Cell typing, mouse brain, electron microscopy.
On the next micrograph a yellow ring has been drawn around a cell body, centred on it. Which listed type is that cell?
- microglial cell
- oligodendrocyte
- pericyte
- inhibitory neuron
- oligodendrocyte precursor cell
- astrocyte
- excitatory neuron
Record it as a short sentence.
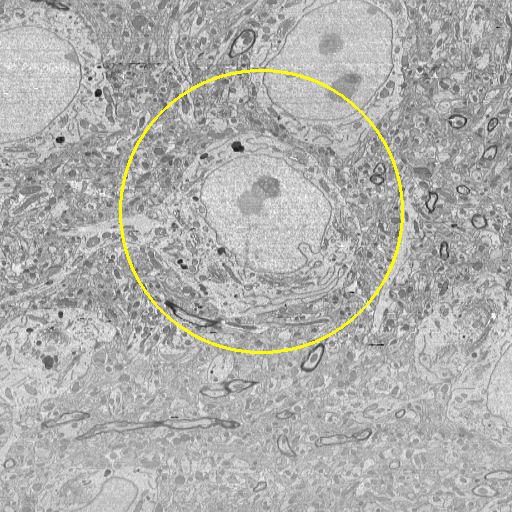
The cell body in the ring's centre belongs to an inhibitory neuron.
